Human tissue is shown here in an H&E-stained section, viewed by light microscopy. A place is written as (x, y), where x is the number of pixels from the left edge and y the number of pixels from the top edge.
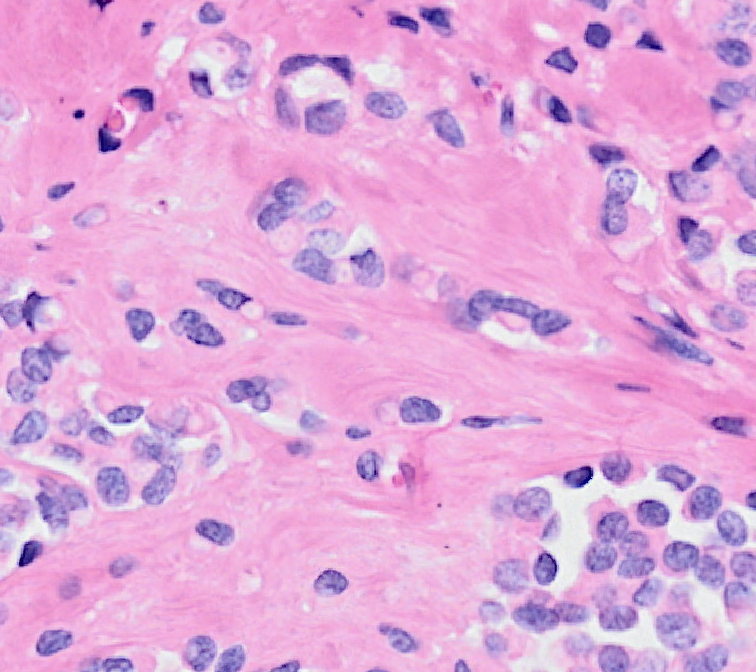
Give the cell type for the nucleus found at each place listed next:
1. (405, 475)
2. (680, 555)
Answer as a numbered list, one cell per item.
1. endothelial cell
2. carcinoma cell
